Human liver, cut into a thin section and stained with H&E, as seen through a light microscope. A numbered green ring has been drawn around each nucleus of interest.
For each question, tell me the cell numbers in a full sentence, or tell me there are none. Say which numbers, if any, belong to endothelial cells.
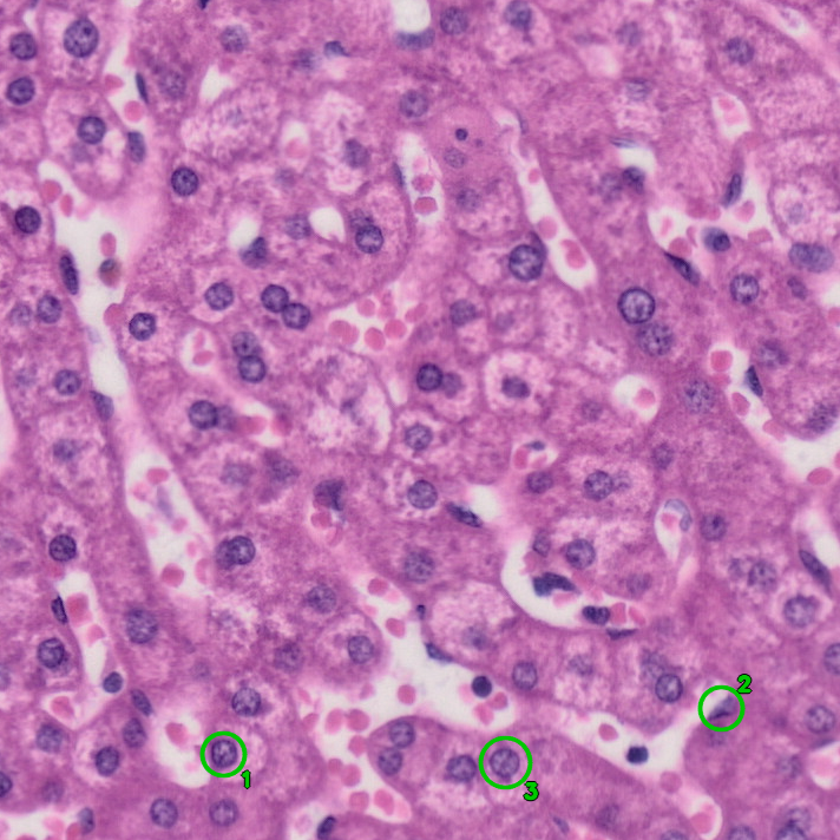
Among the numbered cells, an endothelial cell occurs only once, as cell 2.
